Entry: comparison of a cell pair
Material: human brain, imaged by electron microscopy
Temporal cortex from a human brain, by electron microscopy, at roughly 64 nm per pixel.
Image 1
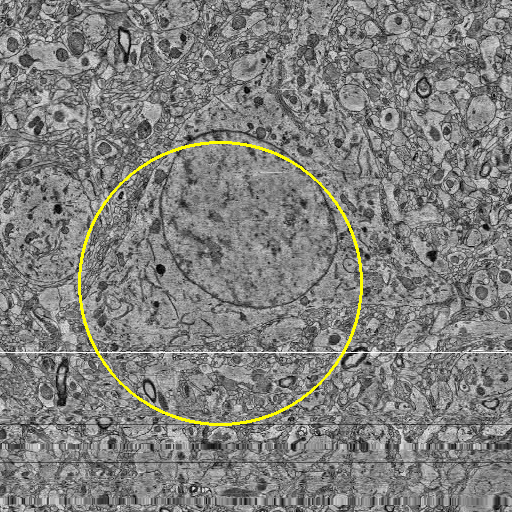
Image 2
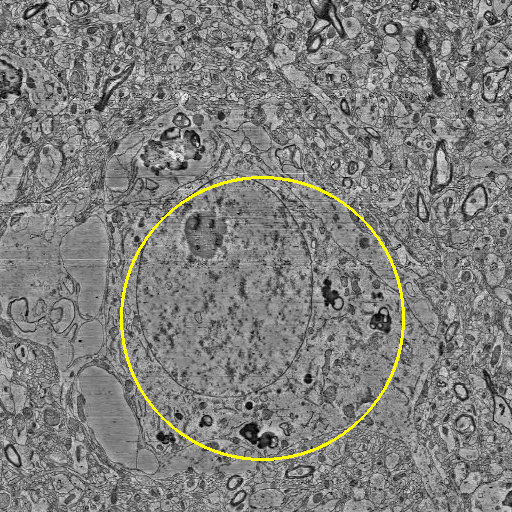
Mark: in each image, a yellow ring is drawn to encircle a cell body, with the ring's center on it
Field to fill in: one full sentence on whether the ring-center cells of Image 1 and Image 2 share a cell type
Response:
Yes, Image 1 and Image 2 each show a ring-center cell of one shared type.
